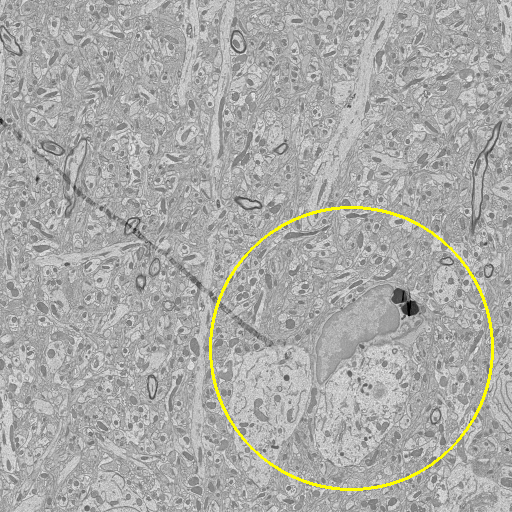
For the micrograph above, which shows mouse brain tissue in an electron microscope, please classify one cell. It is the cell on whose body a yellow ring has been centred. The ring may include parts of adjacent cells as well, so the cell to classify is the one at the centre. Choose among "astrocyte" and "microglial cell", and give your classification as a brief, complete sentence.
I classify this cell as a microglial cell.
